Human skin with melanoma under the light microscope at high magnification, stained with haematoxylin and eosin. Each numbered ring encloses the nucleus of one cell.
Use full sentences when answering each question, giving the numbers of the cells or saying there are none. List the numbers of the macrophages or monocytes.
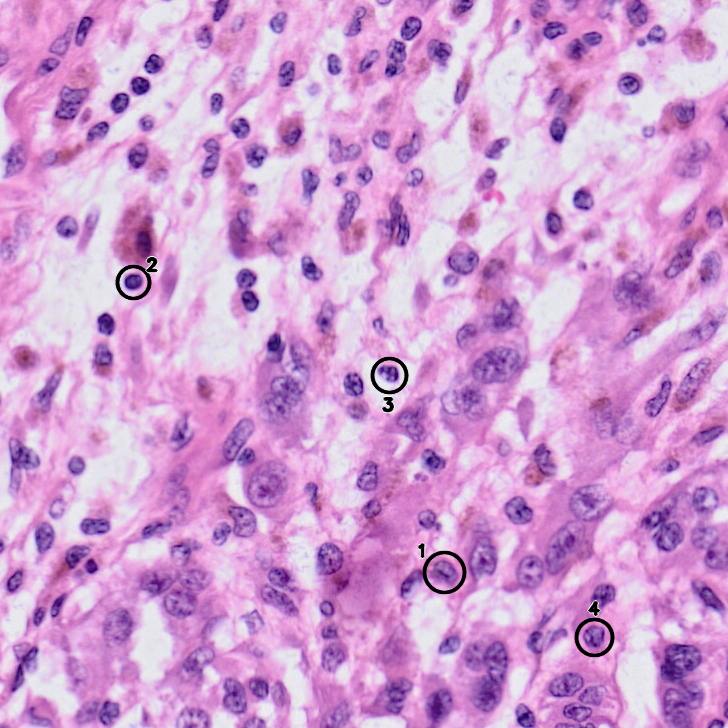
Among the numbered cells, a macrophage or monocyte occurs only once, as cell 1.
